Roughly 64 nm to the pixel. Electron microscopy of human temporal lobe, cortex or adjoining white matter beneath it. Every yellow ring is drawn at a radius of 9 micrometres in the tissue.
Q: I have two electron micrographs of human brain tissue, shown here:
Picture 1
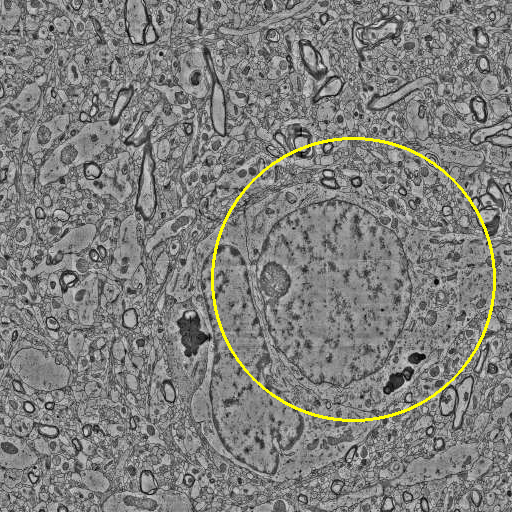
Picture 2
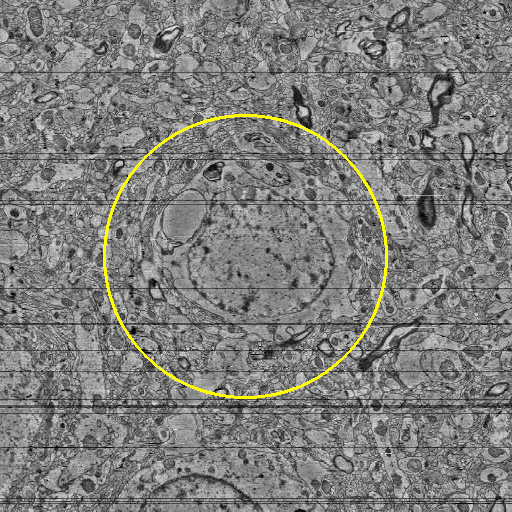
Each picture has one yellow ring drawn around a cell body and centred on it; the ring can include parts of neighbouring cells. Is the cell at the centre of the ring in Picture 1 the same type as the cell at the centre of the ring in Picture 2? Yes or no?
no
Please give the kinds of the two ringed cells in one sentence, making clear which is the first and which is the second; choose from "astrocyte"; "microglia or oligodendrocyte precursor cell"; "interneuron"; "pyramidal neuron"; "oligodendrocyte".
In the second picture the ringed cell is an astrocyte; in the first it is a pyramidal neuron.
